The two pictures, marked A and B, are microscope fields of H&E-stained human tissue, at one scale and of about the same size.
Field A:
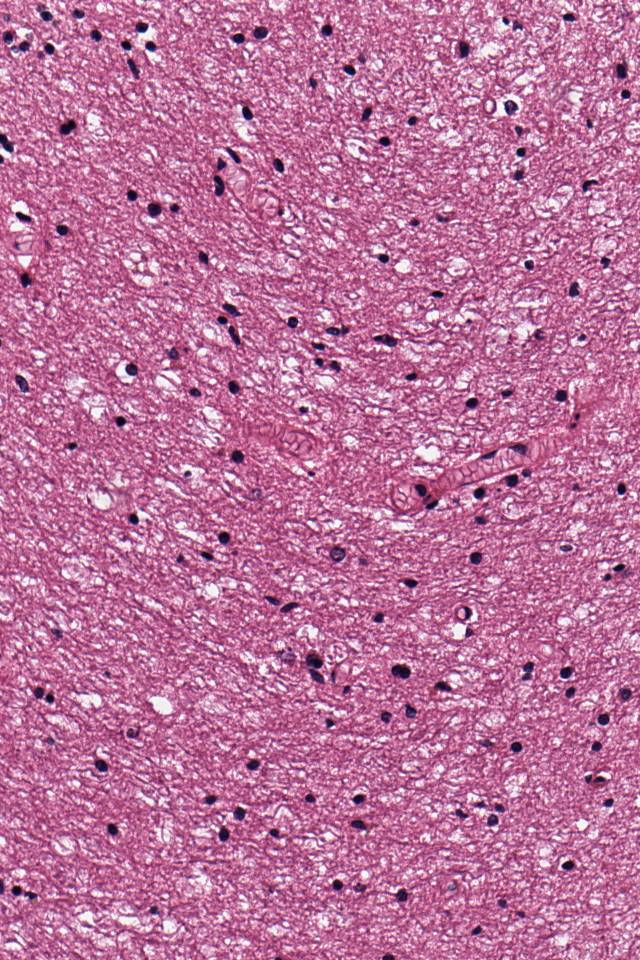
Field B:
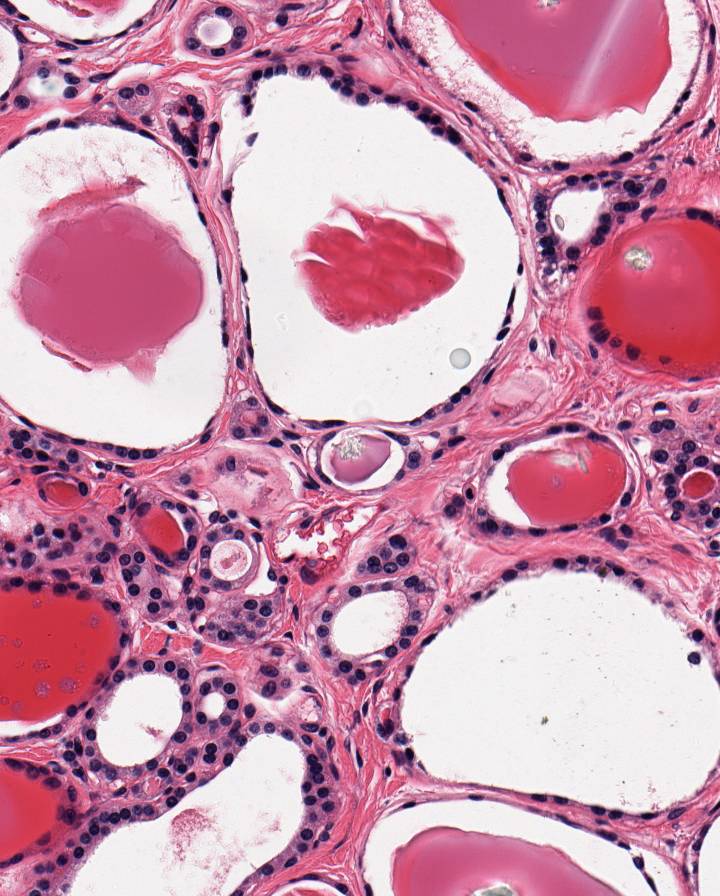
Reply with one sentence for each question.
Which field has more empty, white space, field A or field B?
Field B has more white space.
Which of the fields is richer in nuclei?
The larger number of nuclei is in field B.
